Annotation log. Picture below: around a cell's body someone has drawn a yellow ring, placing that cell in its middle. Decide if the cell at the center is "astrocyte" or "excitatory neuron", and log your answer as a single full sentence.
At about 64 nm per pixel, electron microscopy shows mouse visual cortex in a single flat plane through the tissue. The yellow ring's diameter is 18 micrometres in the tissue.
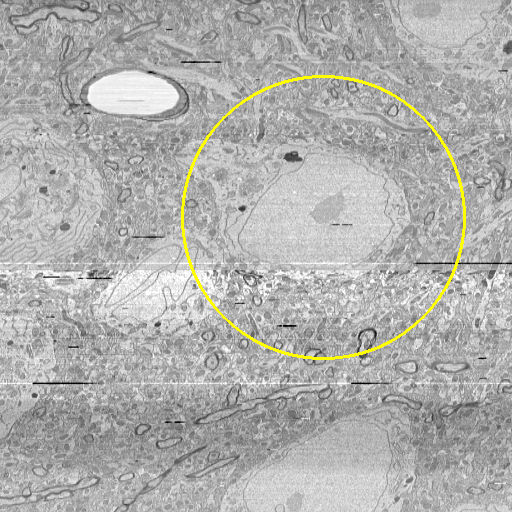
My entry records an excitatory neuron as the cell sitting at the center of the yellow ring.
